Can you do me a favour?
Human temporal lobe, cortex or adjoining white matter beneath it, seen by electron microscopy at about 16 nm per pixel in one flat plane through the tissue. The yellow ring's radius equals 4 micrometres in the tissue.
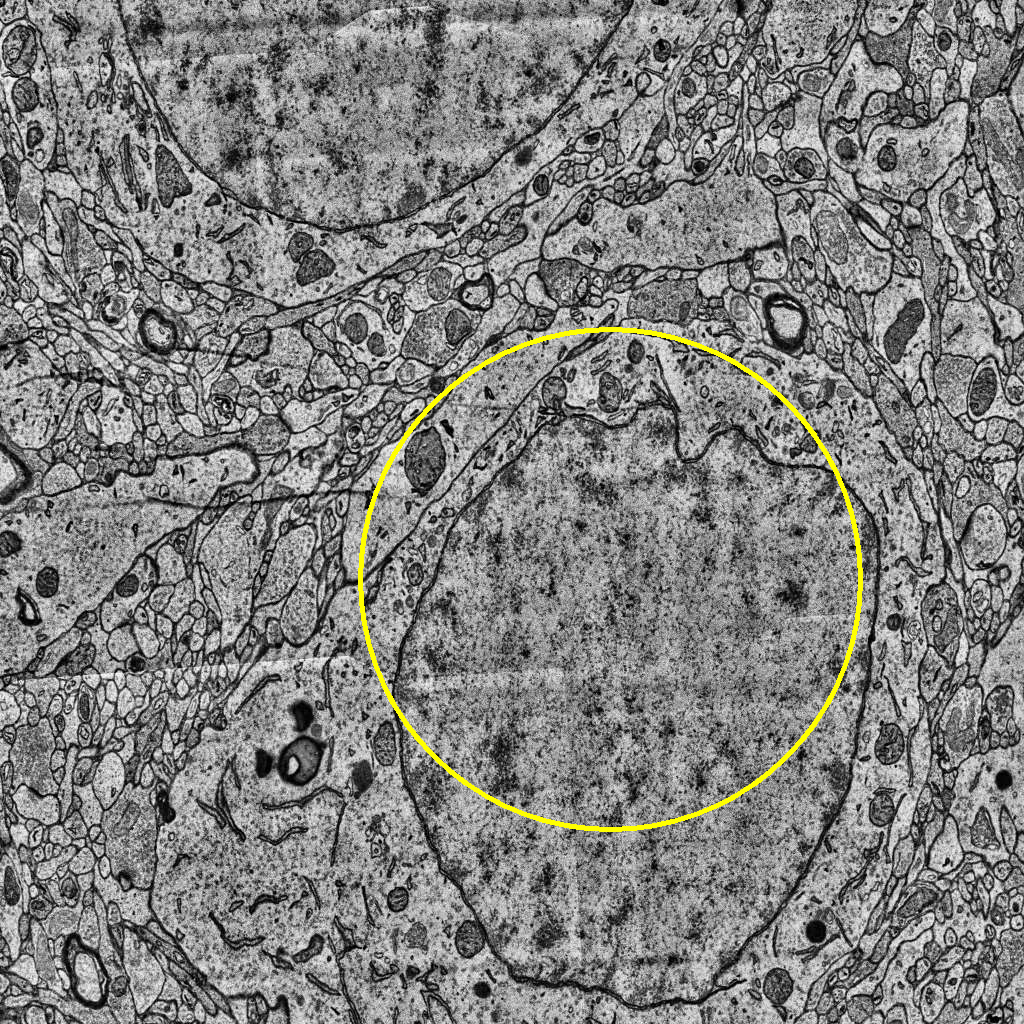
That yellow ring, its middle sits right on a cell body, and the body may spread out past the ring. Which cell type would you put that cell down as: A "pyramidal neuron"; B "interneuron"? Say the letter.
A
